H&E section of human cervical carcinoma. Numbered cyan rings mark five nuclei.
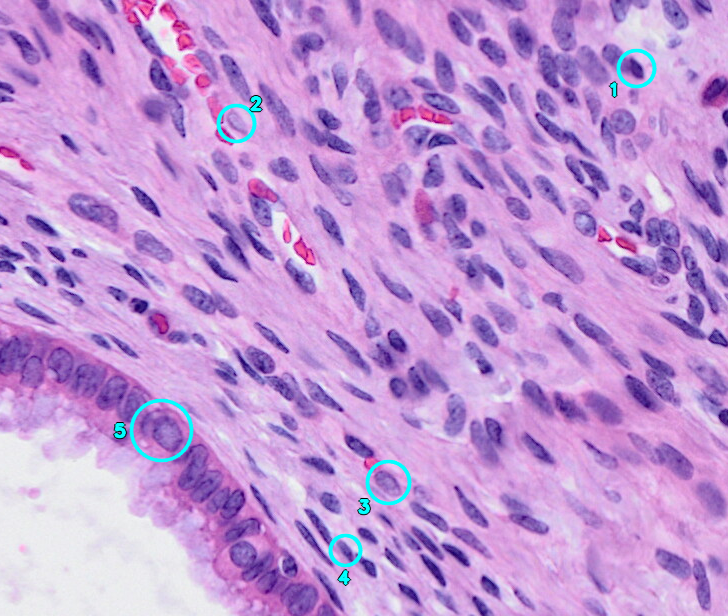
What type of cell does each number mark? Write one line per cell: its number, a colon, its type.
1: lymphocyte
2: endothelial cell
3: endothelial cell
4: fibroblast
5: secretory epithelial cell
